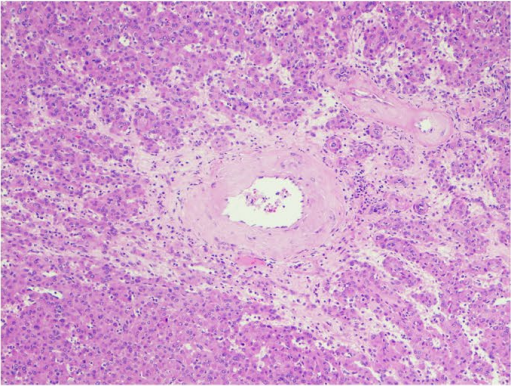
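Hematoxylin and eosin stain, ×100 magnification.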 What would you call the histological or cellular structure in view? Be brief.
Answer: Arterioles with concentric and hyalinized walls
